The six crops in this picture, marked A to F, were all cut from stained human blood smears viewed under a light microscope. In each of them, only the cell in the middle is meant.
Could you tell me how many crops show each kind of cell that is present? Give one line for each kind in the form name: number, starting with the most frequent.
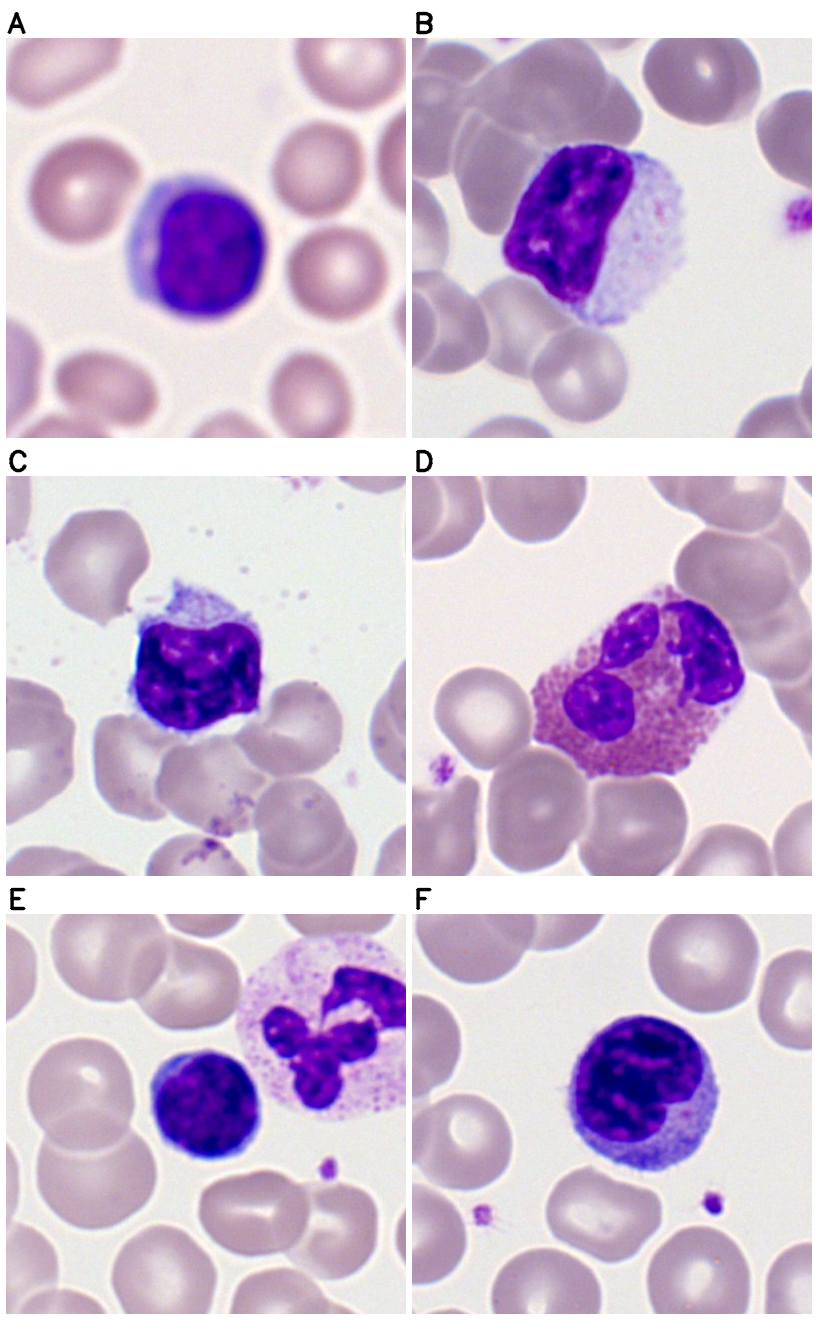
lymphocyte: 5
eosinophil: 1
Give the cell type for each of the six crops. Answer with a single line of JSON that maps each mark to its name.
{"A": "lymphocyte", "B": "lymphocyte", "C": "lymphocyte", "D": "eosinophil", "E": "lymphocyte", "F": "lymphocyte"}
